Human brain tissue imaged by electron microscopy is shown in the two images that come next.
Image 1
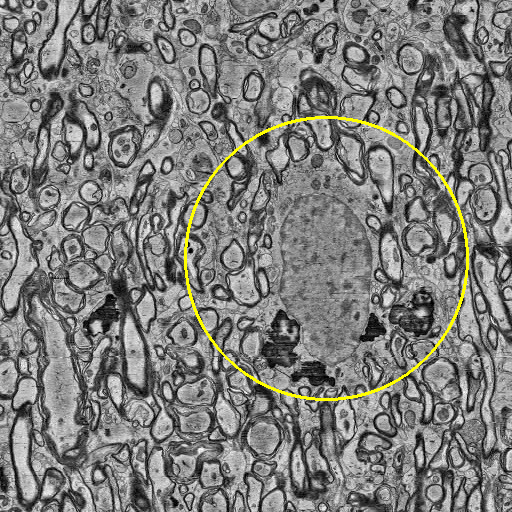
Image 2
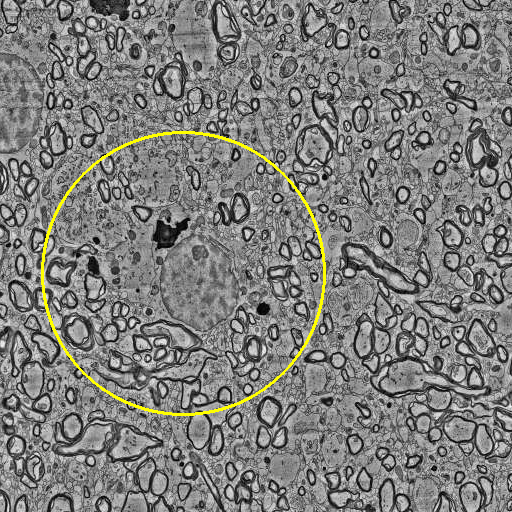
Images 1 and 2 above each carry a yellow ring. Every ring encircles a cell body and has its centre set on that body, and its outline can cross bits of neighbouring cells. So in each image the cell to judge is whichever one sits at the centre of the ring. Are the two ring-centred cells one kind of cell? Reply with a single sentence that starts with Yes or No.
Yes, in Image 1 and Image 2 the cells at the centres of their rings fall into one type.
